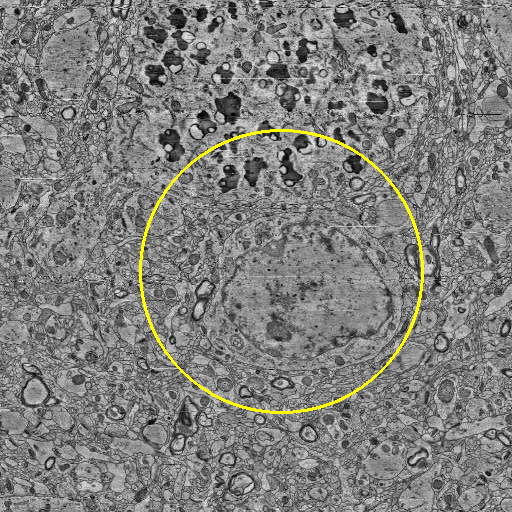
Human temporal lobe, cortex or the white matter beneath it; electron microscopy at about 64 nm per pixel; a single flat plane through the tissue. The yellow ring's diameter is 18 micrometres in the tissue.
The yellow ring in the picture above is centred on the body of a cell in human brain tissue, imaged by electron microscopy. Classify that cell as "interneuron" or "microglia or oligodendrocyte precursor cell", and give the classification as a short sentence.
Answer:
The cell in the middle of the ring is an interneuron.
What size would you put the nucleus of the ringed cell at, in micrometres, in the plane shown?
The ringed cell's nucleus is about 11 micrometres long and 9 micrometres wide in this plane.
